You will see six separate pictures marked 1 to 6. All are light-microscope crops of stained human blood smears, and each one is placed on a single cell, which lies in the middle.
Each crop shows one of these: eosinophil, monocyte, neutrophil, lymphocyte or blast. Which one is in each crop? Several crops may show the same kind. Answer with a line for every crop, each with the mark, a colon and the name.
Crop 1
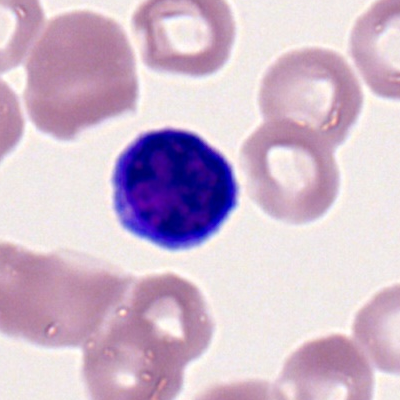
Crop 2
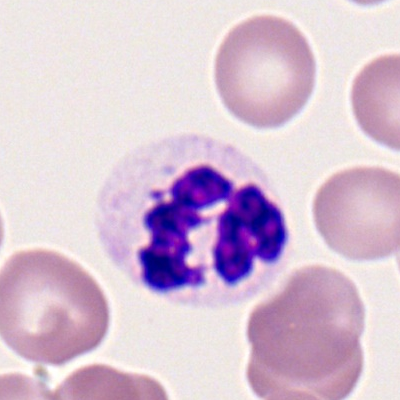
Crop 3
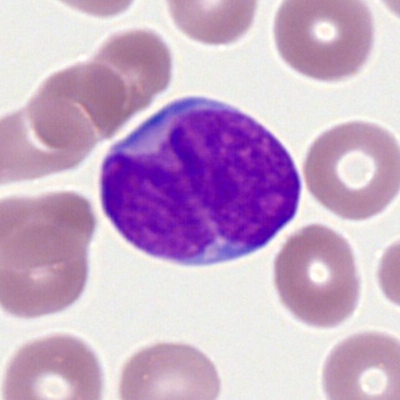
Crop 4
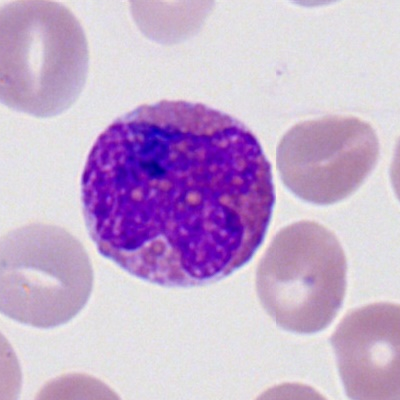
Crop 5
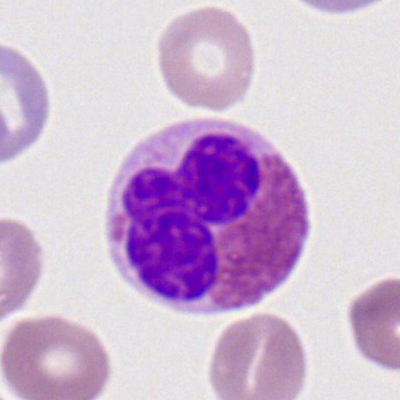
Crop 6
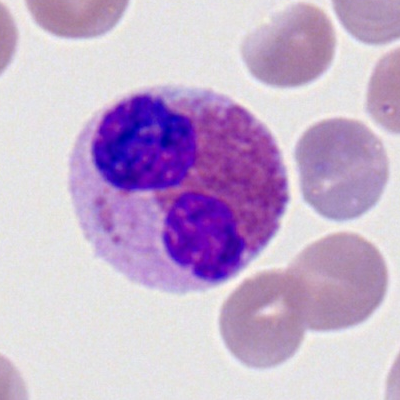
1: lymphocyte
2: neutrophil
3: blast
4: eosinophil
5: eosinophil
6: eosinophil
